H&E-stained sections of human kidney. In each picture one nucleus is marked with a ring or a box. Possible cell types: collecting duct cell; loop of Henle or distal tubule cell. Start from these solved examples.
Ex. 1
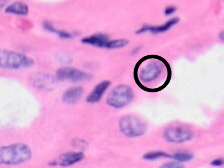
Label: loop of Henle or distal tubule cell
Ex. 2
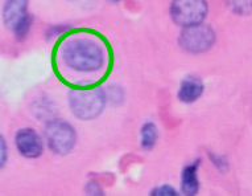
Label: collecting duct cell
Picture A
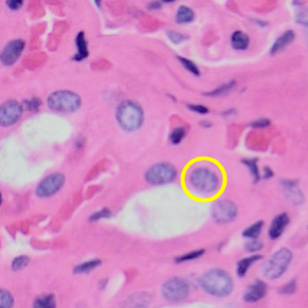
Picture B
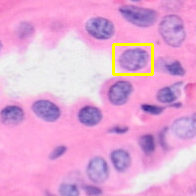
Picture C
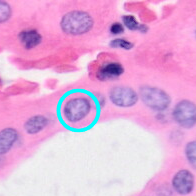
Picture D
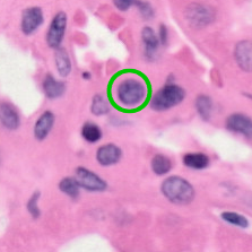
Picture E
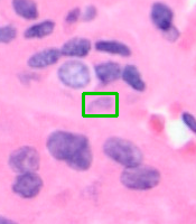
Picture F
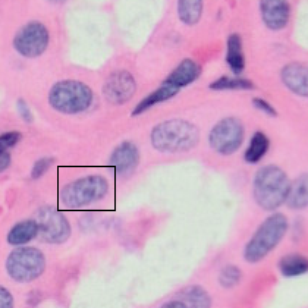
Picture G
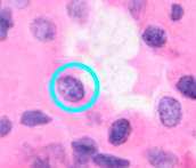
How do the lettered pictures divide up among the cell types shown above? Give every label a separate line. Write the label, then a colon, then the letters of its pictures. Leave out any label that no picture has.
collecting duct cell: C, D, E, F
loop of Henle or distal tubule cell: A, B, G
